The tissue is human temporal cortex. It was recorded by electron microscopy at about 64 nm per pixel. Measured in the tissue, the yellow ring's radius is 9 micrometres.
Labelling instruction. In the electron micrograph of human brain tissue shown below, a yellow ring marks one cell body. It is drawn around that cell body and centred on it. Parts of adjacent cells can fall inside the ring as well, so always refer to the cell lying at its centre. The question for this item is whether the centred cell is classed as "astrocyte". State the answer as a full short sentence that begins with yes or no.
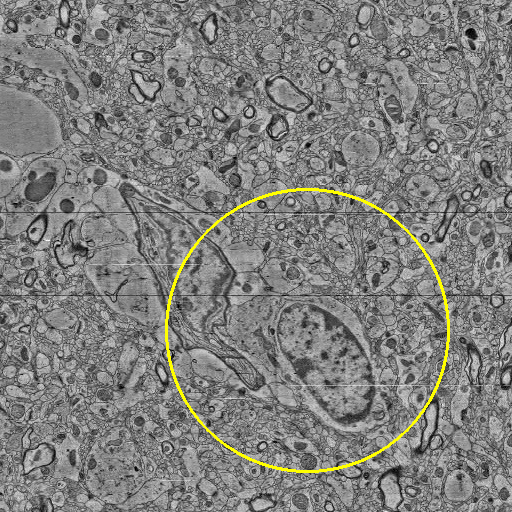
No, the centred cell belongs to another class.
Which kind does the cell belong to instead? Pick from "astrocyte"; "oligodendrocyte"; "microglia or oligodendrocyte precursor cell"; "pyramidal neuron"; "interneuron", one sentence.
At the centre of the ring sits a microglial cell or oligodendrocyte precursor cell.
